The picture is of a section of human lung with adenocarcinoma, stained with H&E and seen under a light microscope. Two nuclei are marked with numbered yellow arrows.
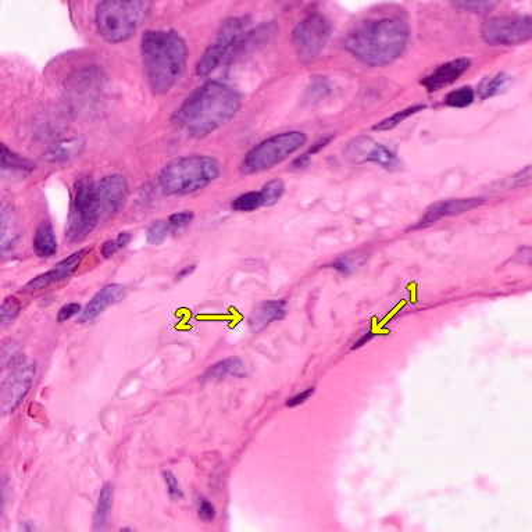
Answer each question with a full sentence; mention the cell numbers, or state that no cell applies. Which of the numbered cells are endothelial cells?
Only cell 1 qualifies as an endothelial cell among the numbered cells.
